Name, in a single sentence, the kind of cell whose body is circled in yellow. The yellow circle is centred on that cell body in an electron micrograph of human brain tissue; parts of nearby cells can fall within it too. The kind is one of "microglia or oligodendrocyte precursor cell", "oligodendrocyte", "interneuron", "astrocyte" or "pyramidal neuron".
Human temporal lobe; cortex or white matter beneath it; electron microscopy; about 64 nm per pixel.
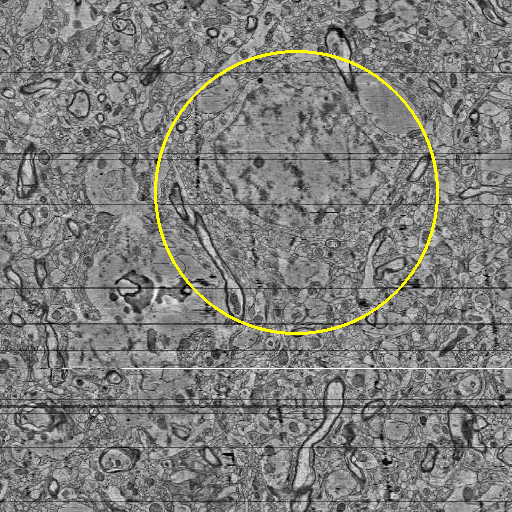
The circled cell body belongs to an interneuron.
